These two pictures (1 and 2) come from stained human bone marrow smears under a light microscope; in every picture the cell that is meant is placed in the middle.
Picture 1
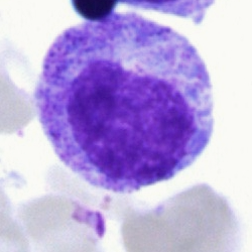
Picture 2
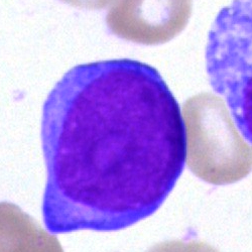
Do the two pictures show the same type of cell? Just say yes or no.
no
